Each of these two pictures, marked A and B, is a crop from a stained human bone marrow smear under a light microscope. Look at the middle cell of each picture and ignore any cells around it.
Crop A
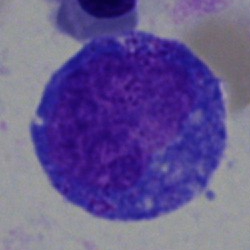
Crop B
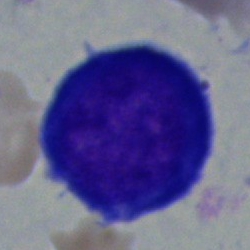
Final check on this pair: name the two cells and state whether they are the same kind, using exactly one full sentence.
Yes, the cells at the middle of both crops are proerythroblasts.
